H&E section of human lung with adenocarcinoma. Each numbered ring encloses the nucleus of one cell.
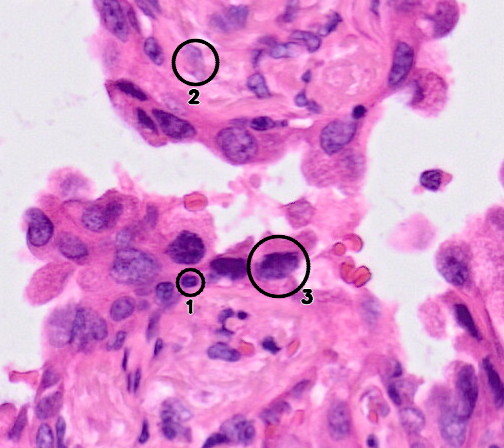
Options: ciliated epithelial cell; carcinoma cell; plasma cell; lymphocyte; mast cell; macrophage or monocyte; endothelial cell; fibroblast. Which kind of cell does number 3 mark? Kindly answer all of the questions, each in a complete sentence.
The cell indicated by marker 3 is a carcinoma cell in this section.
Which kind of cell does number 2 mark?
That cell with number 2 is a fibroblast.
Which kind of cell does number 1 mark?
In this section, the cell tagged 1 is a lymphocyte.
